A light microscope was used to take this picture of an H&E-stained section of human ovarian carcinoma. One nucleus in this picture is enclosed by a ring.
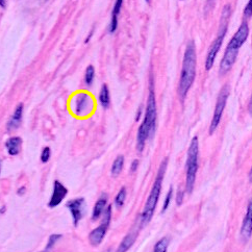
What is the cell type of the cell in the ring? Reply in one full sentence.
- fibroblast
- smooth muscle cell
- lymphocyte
For cell typing purposes, the cell in the ring is a smooth muscle cell.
